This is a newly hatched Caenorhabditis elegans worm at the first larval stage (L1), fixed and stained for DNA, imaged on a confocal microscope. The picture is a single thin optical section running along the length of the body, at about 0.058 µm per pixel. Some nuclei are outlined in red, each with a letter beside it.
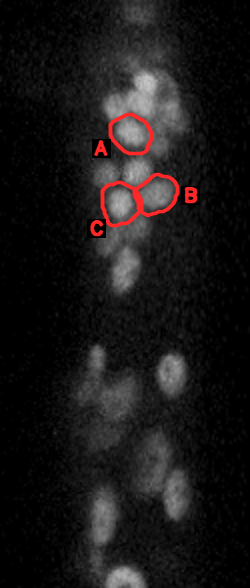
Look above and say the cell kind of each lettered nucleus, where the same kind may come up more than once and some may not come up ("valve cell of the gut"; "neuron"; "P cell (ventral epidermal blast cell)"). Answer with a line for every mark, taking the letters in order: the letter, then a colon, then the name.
A: neuron
B: valve cell of the gut
C: neuron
